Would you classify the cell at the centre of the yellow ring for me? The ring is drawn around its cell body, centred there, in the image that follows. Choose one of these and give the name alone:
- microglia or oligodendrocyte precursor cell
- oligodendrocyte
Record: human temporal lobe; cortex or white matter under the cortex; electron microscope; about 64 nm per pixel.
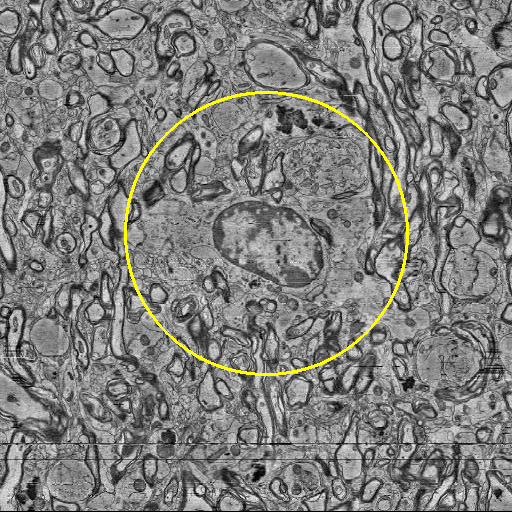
microglia or oligodendrocyte precursor cell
